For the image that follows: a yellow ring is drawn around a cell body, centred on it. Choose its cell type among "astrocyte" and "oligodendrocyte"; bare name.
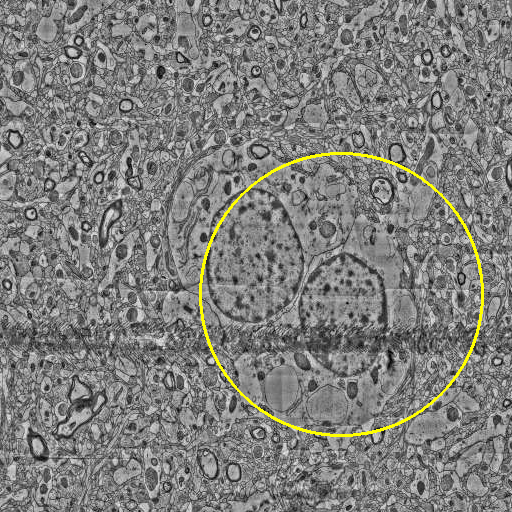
astrocyte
